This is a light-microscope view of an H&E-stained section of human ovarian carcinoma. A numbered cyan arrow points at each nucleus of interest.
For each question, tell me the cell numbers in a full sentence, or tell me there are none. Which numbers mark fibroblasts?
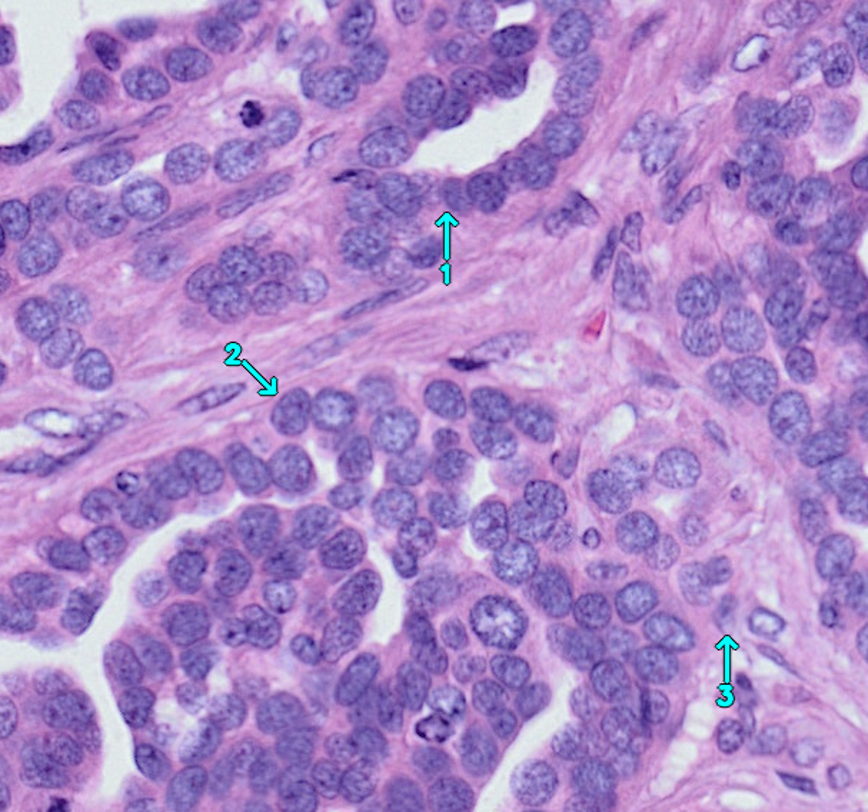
Only cell 3 is a fibroblast; none of the other numbered cells is.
